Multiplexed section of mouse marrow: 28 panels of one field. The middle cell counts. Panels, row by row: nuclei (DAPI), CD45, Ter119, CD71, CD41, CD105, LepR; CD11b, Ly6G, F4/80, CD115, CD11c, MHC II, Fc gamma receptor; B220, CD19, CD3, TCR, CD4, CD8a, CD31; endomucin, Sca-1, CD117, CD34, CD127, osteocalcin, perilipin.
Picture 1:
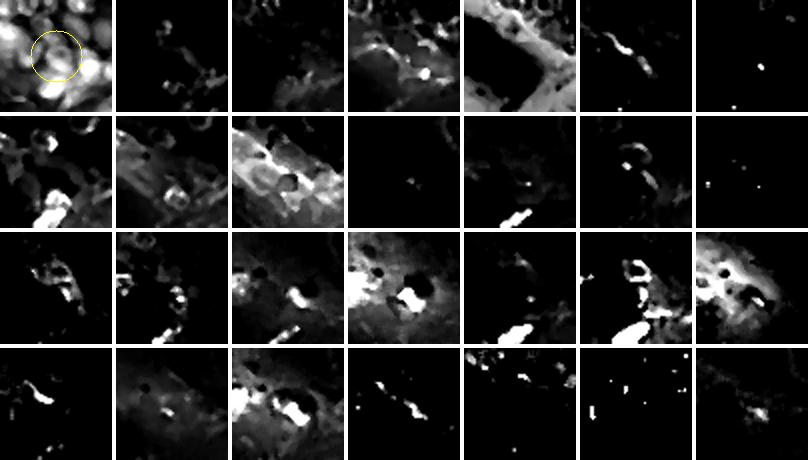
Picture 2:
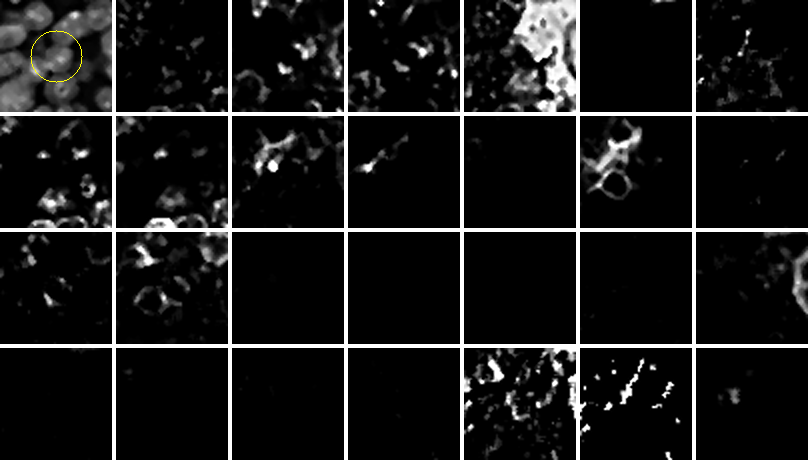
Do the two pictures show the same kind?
No: an erythroid progenitor (CFU-E), then a common lymphoid progenitor.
